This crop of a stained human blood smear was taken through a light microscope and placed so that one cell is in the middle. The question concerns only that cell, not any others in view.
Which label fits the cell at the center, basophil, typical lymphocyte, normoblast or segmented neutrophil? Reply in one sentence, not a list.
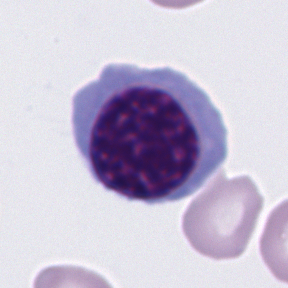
This crop is built around a normoblast at its centre.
